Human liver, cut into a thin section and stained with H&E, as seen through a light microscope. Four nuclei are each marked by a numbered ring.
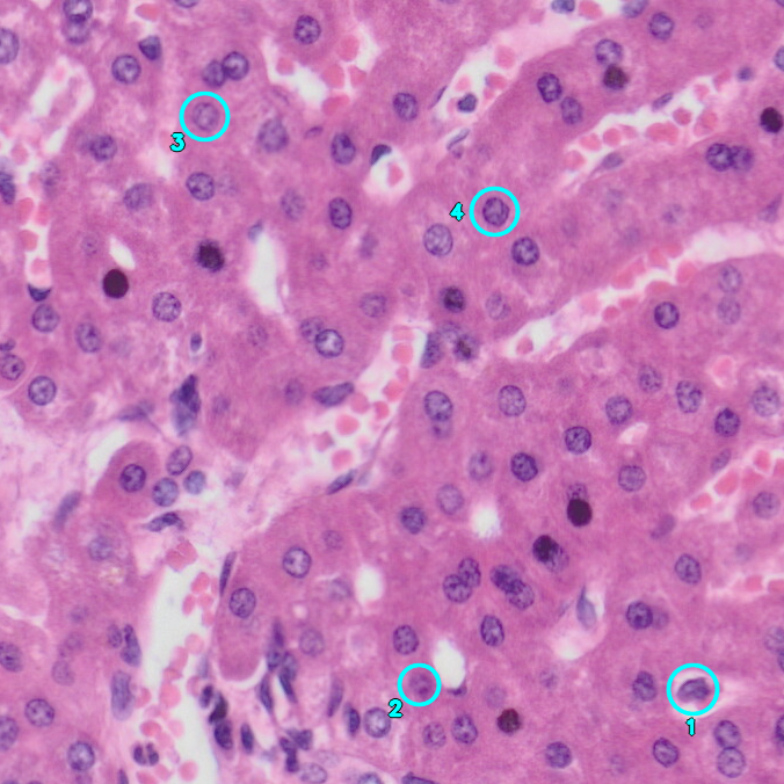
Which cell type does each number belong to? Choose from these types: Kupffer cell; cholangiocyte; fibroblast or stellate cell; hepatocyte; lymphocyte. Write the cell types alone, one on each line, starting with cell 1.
Kupffer cell
hepatocyte
hepatocyte
hepatocyte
